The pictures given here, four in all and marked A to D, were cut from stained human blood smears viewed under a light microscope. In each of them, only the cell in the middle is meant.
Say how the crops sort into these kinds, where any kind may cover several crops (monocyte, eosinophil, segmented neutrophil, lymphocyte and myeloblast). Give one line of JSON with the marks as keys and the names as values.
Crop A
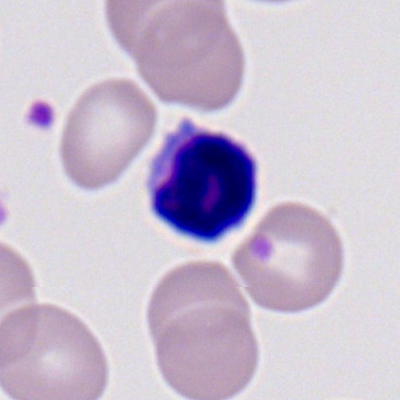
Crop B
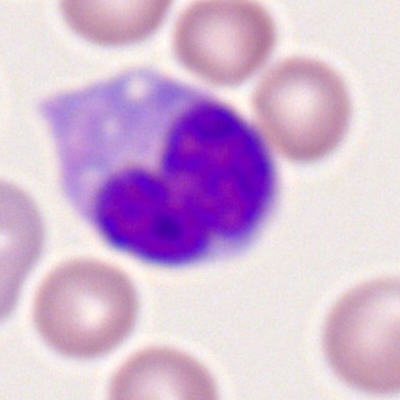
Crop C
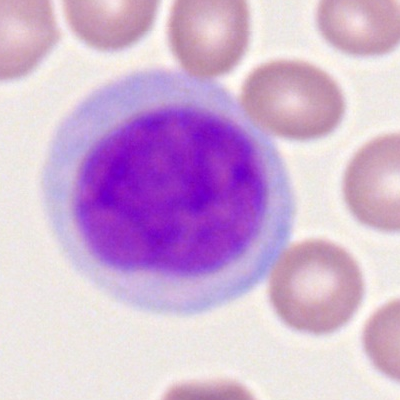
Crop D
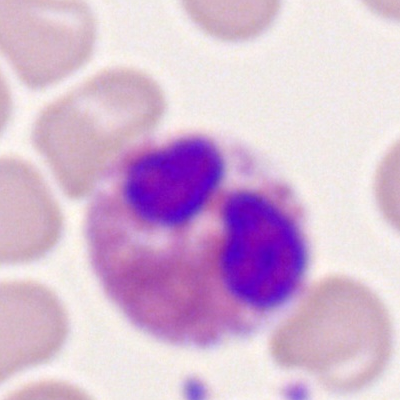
{"A": "lymphocyte", "B": "monocyte", "C": "myeloblast", "D": "eosinophil"}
